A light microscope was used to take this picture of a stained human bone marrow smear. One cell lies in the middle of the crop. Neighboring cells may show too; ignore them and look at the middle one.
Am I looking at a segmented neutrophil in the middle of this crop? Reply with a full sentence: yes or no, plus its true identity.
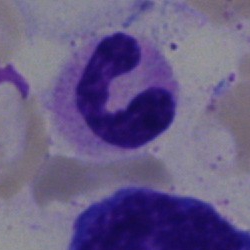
Yes, the central cell is to be recorded as a segmented neutrophil.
